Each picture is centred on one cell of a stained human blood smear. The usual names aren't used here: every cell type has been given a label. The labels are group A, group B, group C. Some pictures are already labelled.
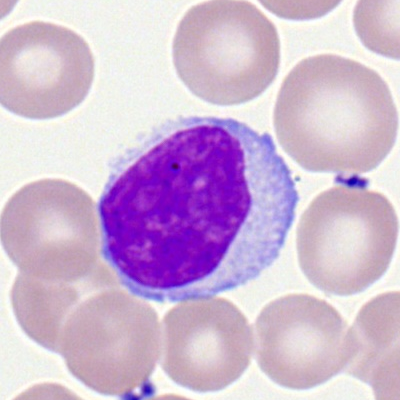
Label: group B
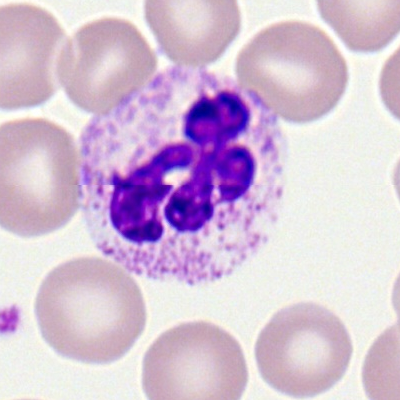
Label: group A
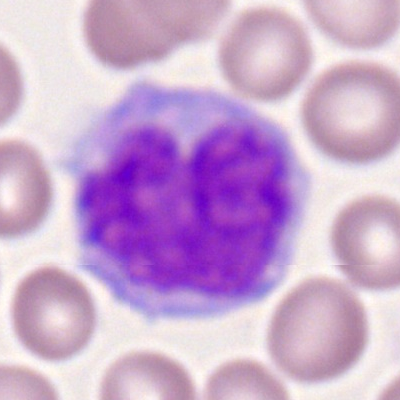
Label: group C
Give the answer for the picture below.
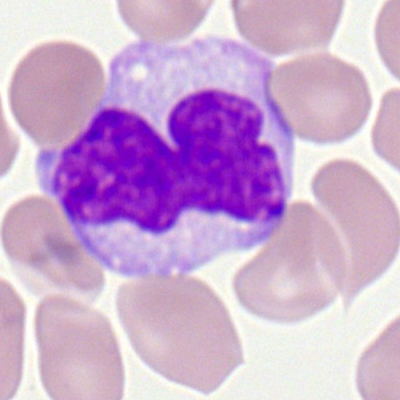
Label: group C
